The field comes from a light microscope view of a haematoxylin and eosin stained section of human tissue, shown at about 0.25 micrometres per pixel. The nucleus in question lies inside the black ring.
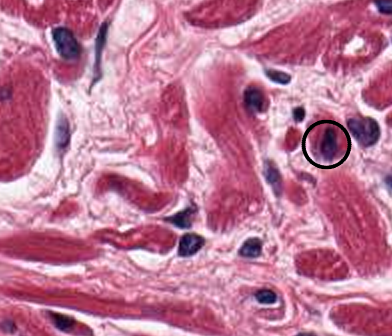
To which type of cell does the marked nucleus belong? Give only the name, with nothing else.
cardiomyocyte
